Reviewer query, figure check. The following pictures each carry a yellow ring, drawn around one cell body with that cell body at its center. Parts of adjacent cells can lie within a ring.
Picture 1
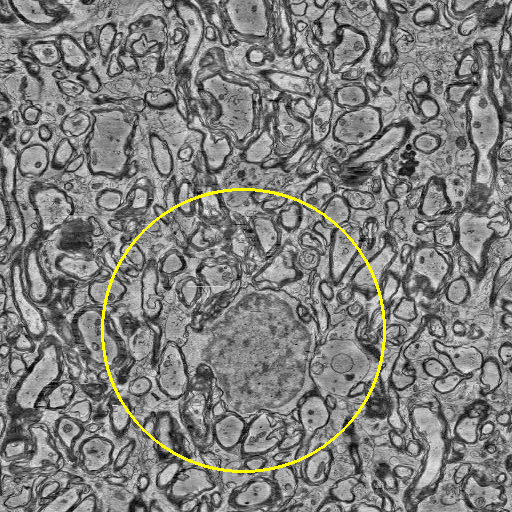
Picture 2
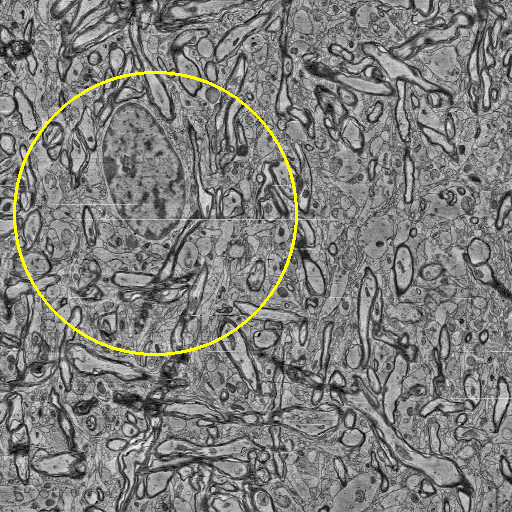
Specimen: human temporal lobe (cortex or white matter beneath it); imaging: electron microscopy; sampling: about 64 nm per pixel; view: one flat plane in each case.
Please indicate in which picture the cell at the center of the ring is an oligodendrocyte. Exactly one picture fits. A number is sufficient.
1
